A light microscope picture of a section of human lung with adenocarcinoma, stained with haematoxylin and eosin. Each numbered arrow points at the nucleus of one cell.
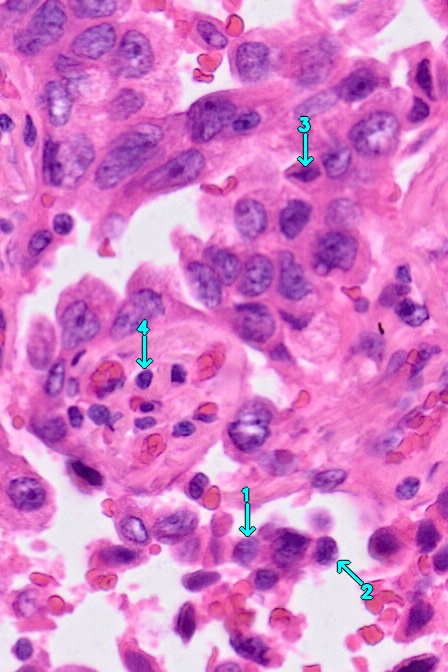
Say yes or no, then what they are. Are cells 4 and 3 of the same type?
No, that's off: cell 4 is a lymphocyte and cell 3 is a carcinoma cell.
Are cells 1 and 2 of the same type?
Yes, cells 1 and 2 fall into the same group, both being carcinoma cells.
